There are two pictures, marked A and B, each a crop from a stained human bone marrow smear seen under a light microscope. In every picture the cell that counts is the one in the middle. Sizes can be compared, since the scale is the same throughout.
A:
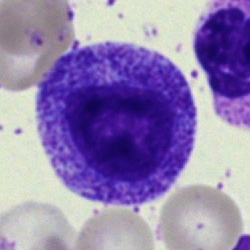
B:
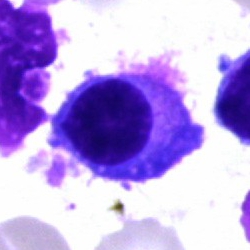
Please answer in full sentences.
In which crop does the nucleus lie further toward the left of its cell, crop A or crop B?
The nucleus in crop B lies further toward the left of its cell.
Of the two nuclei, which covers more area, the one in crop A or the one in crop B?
The nucleus in crop A is larger, with about 1.5 times the area of the one in crop B.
